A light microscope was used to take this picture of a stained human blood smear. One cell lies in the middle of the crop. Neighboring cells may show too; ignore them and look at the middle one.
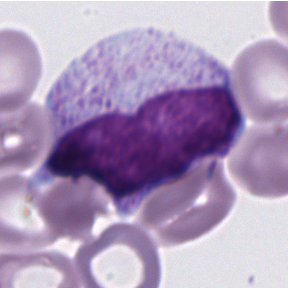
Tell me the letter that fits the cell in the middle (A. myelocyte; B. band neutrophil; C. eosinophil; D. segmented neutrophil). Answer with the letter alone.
A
